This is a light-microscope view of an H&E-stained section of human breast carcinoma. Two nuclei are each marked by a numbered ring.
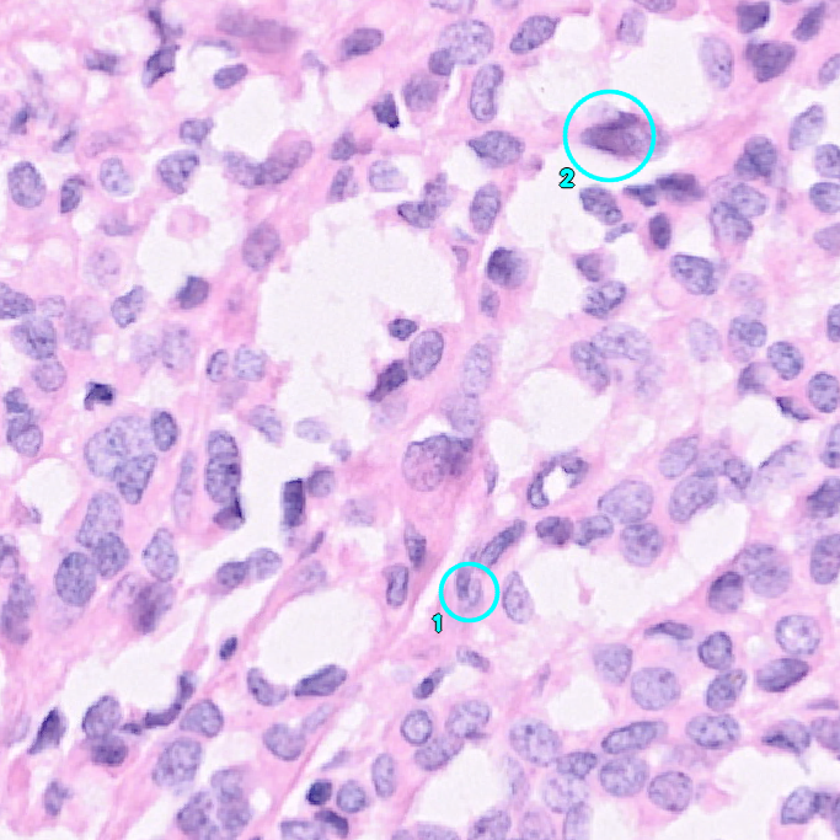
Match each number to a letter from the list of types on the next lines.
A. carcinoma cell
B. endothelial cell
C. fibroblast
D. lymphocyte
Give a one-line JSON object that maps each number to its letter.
{"1": "B", "2": "A"}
